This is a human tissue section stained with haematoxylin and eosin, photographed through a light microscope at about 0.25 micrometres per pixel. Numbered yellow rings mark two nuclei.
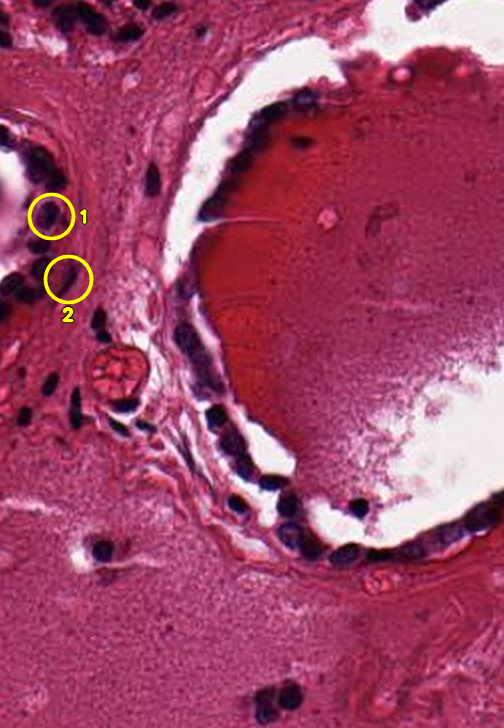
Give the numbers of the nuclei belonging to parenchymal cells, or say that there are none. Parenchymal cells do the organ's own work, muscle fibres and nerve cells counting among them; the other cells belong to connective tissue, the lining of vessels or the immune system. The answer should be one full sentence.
Every marked nucleus except nucleus 1 belongs to a cell that is not parenchymal.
